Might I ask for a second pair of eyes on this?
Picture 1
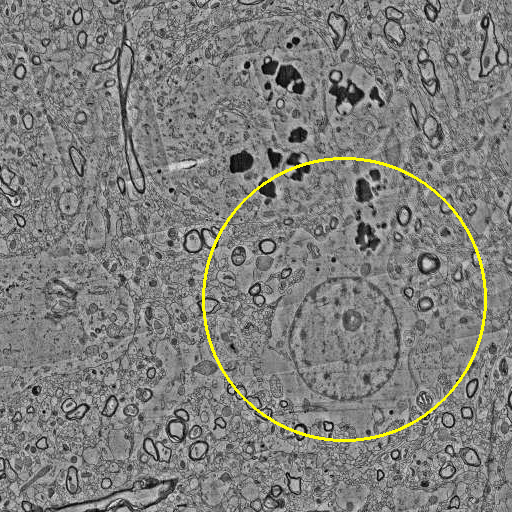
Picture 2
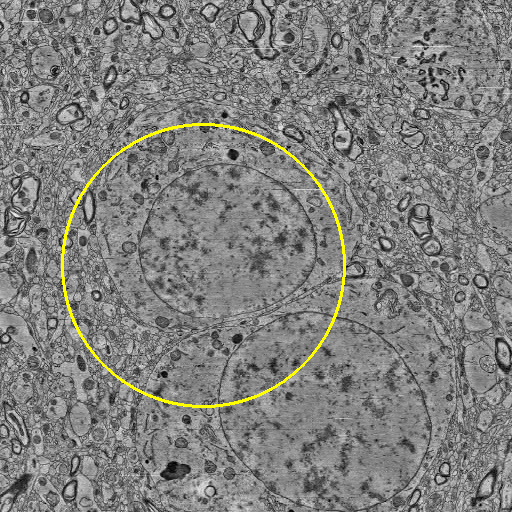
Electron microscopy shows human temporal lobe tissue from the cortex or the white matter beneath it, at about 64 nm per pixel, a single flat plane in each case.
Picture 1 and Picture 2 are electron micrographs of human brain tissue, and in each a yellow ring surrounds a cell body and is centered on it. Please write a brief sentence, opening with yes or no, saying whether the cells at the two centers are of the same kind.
No, the cells are of two kinds.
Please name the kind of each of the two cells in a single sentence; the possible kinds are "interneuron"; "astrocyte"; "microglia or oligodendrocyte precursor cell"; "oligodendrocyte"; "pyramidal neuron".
In the first picture the ring is centred on an astrocyte, and in the second on an interneuron.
